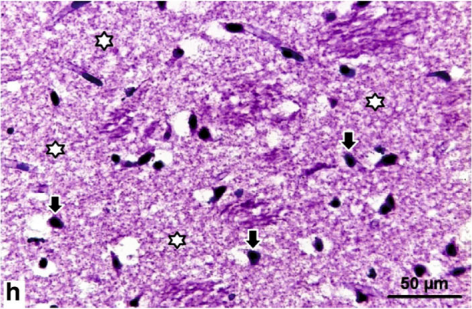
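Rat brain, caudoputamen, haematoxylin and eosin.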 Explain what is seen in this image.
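The pink tissue is loose, finely vacuolated and spongy, with scattered small cells whose nuclei are shrunken and solidly black, often set in clear spaces, and faint streaks of fibre bundles. No healthy nuclei with nucleoli are seen.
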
